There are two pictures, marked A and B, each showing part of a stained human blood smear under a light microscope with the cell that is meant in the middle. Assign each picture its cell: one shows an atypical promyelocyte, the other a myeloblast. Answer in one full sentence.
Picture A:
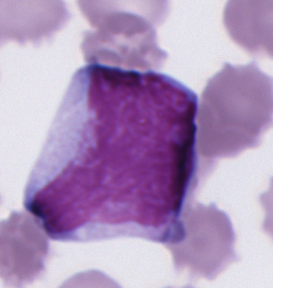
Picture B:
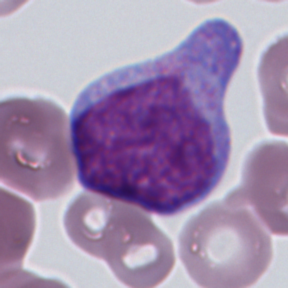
Picture A is of a myeloblast, and picture B is of an atypical promyelocyte.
